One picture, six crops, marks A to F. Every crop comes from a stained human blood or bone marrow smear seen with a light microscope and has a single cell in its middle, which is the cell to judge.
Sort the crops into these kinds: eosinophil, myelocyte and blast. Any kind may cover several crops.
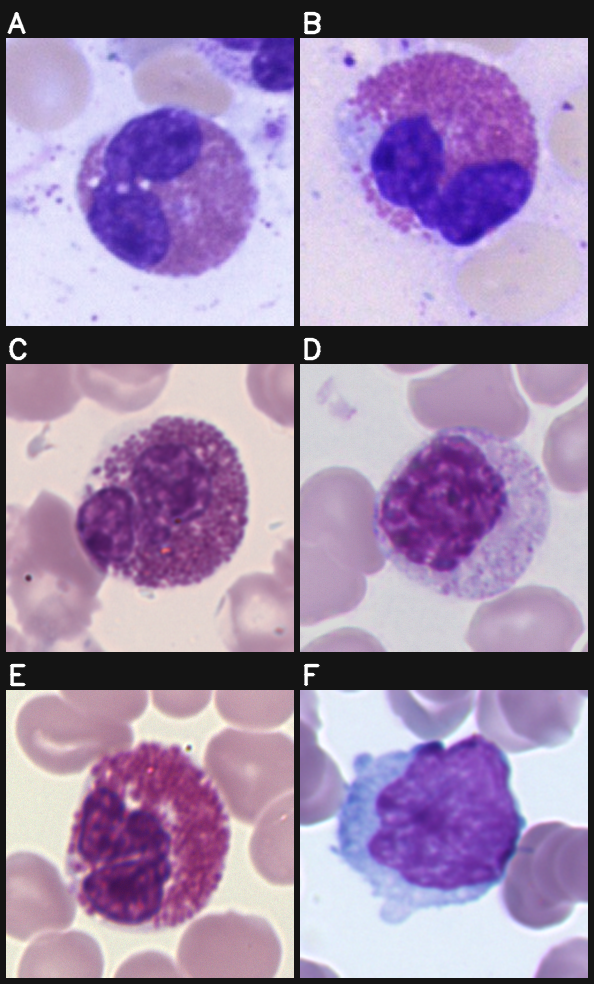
A: eosinophil
B: eosinophil
C: eosinophil
D: myelocyte
E: eosinophil
F: blast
